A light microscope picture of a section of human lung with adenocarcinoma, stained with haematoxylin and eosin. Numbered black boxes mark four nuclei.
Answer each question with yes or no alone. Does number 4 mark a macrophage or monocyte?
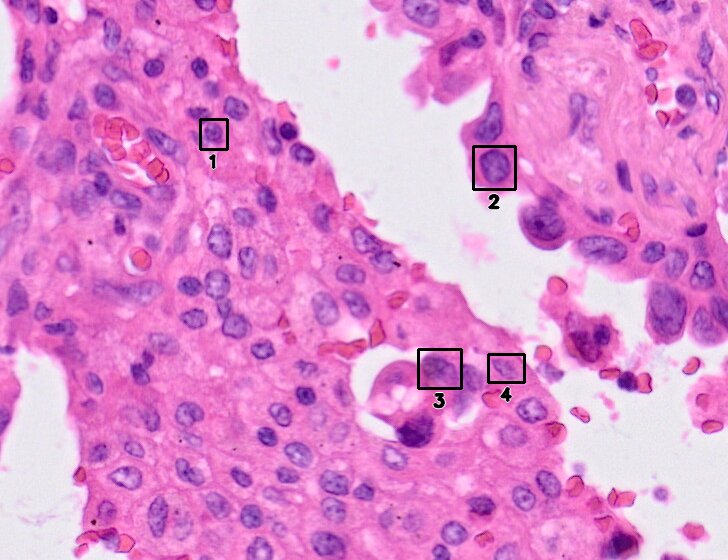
yes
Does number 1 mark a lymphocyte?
yes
